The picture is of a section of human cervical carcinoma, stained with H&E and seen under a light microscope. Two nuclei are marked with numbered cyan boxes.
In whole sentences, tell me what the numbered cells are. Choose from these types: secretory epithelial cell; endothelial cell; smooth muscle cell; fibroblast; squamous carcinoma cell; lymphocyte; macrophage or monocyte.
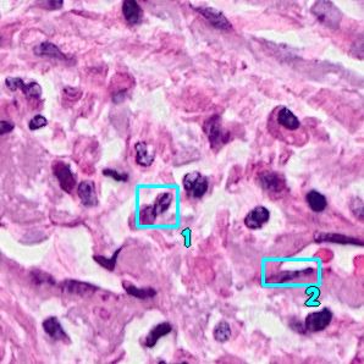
Cell 1 is a macrophage or monocyte. Cell 2 is an endothelial cell.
